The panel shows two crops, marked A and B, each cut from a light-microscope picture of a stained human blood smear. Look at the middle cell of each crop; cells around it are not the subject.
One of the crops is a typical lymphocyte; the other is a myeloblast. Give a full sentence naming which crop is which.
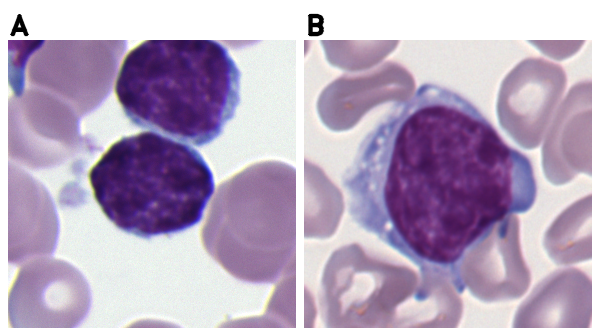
The cell centred in crop A is a typical lymphocyte, while the one centred in crop B is a myeloblast.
